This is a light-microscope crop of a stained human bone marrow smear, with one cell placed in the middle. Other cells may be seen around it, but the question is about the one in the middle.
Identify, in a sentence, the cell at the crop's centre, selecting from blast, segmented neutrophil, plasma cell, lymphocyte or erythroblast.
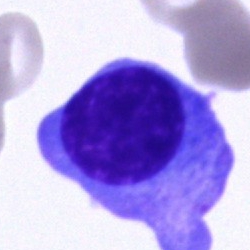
On this slide crop, the central cell is a plasma cell.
